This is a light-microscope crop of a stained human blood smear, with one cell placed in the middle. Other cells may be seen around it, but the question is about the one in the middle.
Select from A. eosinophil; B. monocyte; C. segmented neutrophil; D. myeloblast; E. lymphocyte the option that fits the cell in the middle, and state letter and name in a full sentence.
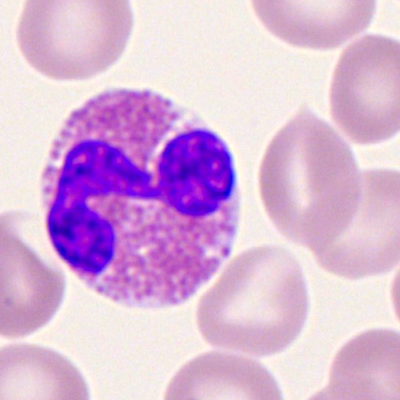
That middle cell is an eosinophil, and option A is therefore correct.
